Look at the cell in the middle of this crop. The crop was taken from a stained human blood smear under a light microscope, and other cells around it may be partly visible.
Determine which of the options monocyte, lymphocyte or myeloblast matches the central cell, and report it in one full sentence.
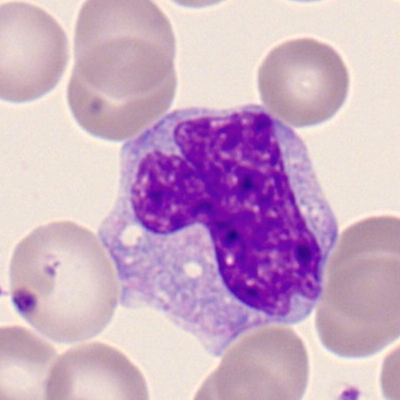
In the centre of this crop there is a monocyte.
